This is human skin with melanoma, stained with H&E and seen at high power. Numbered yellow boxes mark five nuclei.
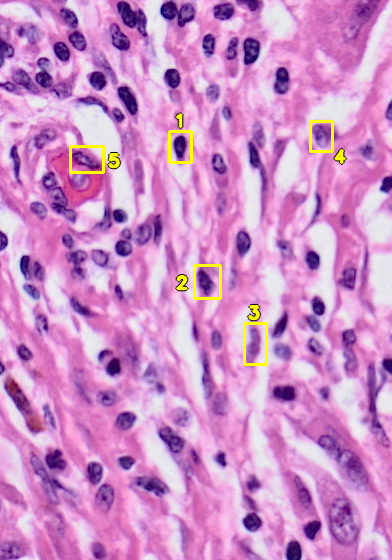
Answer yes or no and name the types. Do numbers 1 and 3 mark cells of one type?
No, cell 1 is a plasma cell and cell 3, for its part, is a fibroblast or myofibroblast.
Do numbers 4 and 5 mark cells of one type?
No, cell 4 is typed as a macrophage or monocyte, and cell 5 is typed as an endothelial cell.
